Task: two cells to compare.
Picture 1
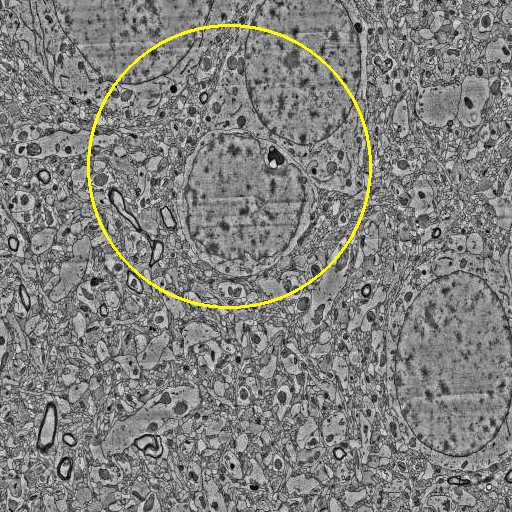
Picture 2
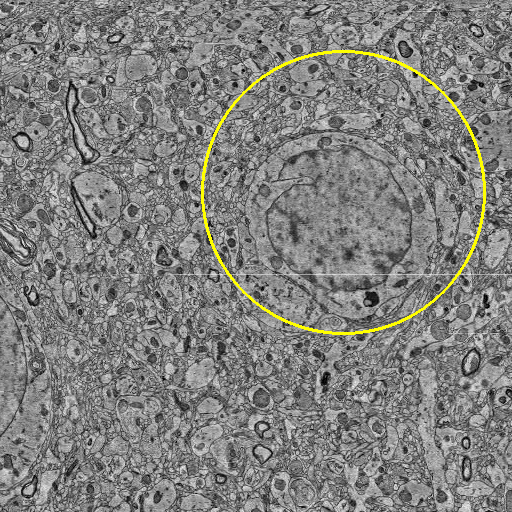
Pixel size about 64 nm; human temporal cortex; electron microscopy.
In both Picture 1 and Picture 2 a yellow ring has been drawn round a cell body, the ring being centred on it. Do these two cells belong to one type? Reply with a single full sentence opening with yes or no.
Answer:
Yes, the two cells at the ring centres in Picture 1 and Picture 2 share one type.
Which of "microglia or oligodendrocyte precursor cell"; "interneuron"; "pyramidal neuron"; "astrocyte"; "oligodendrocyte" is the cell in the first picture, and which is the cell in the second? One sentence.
Each of the two rings surrounds an interneuron.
